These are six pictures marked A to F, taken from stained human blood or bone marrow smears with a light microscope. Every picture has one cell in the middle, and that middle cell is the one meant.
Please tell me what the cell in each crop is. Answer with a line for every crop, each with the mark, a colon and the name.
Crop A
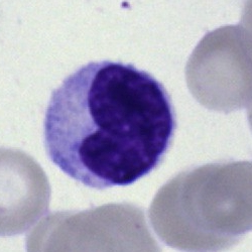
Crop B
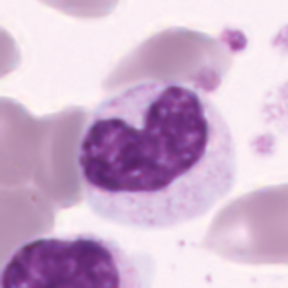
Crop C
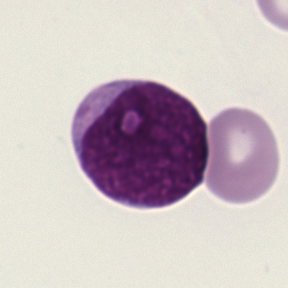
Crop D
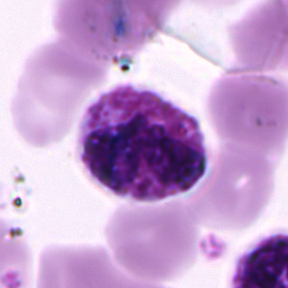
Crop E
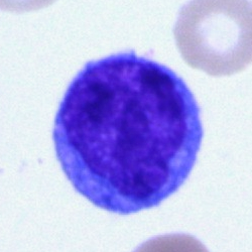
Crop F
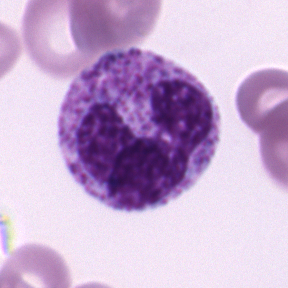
A: metamyelocyte
B: metamyelocyte
C: blast
D: eosinophil
E: blast
F: eosinophil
